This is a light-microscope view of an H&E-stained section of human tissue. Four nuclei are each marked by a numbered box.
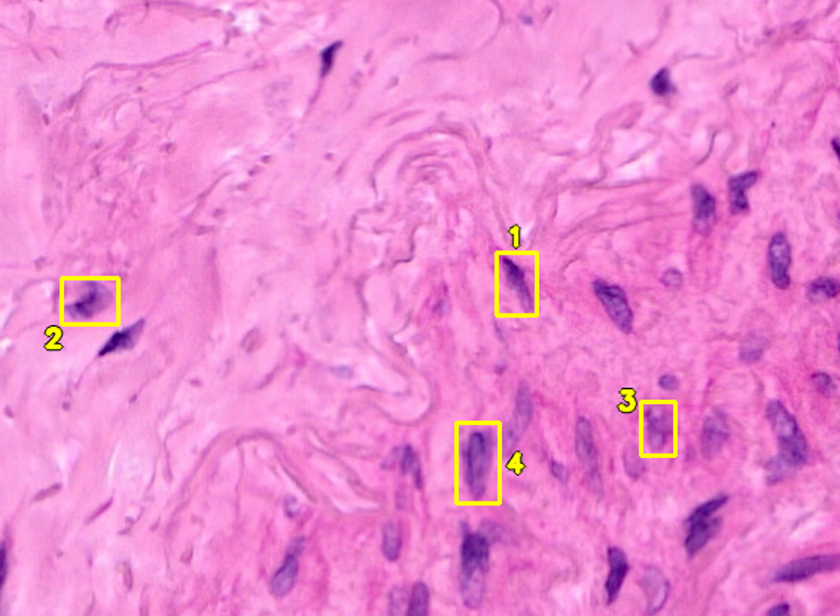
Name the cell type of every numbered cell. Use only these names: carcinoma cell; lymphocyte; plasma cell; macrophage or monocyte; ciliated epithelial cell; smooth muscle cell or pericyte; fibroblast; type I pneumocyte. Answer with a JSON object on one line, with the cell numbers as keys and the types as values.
{"1": "smooth muscle cell or pericyte", "2": "fibroblast", "3": "smooth muscle cell or pericyte", "4": "smooth muscle cell or pericyte"}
